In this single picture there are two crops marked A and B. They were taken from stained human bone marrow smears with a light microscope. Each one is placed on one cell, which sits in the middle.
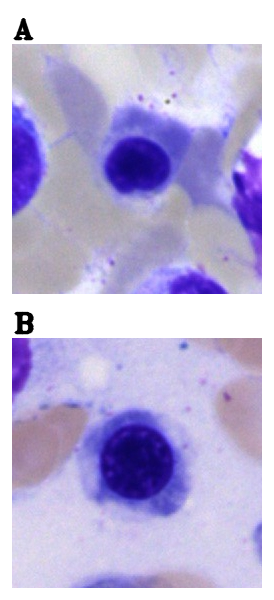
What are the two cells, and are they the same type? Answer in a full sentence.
Yes, both of the crops show erythroblasts.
